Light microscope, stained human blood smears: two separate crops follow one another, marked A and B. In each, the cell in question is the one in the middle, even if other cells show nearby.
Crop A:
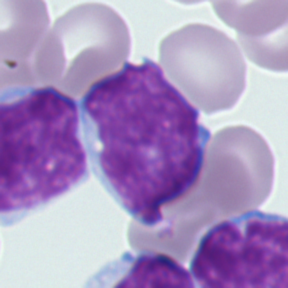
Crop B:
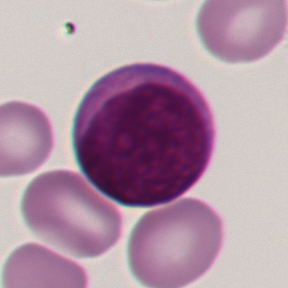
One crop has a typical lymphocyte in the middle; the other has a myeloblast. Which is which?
A: typical lymphocyte
B: myeloblast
